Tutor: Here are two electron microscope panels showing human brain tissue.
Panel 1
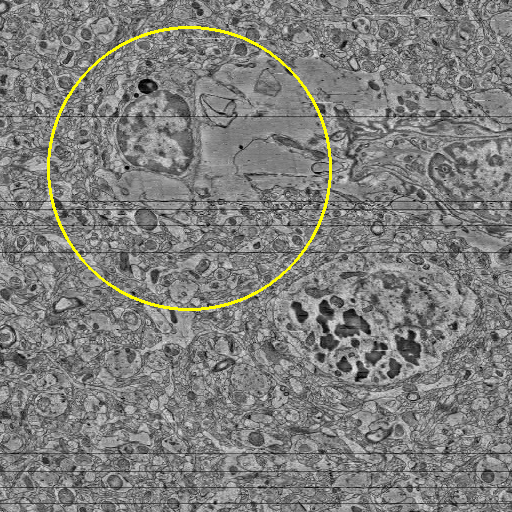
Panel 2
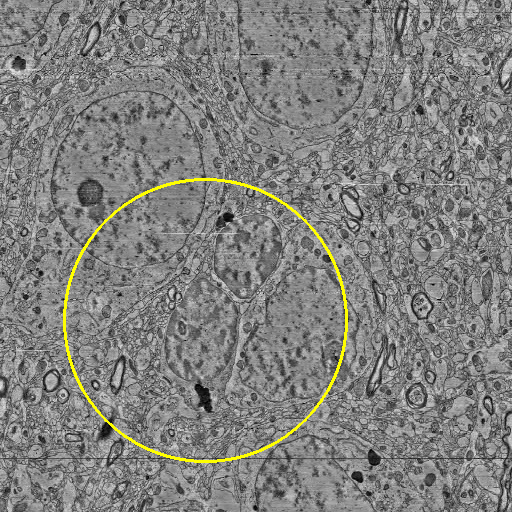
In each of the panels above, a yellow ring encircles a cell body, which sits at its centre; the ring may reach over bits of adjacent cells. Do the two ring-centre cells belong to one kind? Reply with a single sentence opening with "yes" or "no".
No, the two cells sitting at the ring centres in the panels belong to two kinds.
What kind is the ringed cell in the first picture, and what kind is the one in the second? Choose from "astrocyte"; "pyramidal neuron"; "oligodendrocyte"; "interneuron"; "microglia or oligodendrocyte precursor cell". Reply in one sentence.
The first cell is a microglial cell or oligodendrocyte precursor cell; the second is an oligodendrocyte.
